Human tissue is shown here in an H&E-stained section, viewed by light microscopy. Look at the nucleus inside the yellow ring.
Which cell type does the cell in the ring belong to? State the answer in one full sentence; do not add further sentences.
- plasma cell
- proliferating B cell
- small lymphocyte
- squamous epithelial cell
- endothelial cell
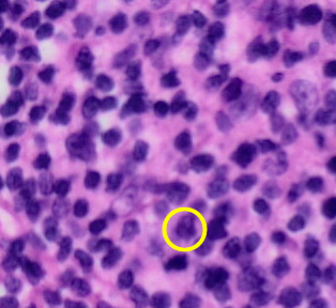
In this tissue sample, the cell in the ring is a proliferating B cell.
